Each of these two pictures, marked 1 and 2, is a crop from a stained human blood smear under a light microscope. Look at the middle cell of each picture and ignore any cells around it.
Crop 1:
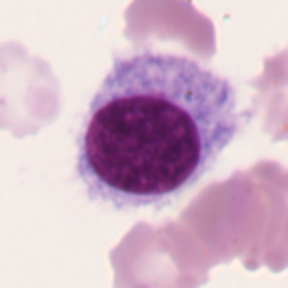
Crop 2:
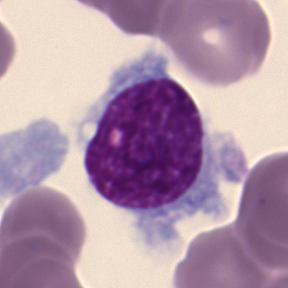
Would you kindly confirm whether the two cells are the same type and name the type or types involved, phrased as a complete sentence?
Yes, the first and the second crop both show hairy cells.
